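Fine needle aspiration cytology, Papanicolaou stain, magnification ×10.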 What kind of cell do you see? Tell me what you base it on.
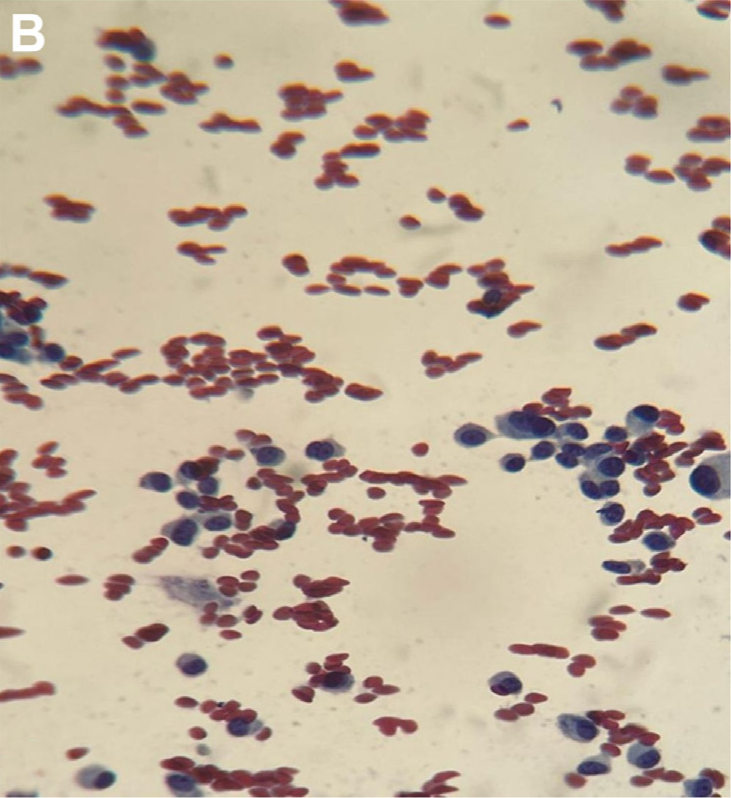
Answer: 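Plasmacytoid cells. Scattered single cells lie among many red-stained red blood cells. Many cells have a round nucleus pushed to one side of the cell. The cells have pale blue-grey cytoplasm around the nucleus.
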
